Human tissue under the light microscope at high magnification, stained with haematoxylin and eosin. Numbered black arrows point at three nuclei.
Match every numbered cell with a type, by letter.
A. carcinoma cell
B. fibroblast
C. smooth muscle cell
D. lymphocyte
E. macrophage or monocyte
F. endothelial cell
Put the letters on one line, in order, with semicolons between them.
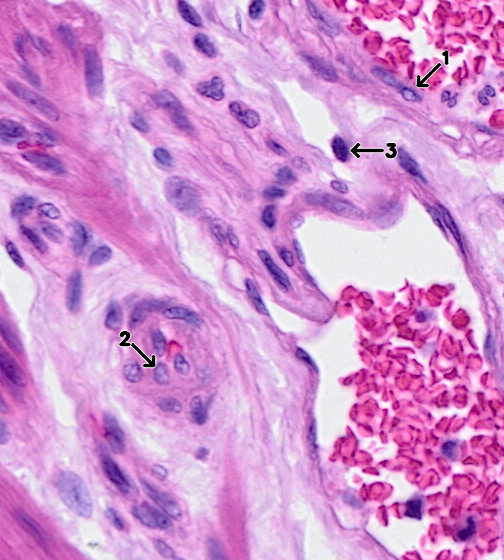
F; F; D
